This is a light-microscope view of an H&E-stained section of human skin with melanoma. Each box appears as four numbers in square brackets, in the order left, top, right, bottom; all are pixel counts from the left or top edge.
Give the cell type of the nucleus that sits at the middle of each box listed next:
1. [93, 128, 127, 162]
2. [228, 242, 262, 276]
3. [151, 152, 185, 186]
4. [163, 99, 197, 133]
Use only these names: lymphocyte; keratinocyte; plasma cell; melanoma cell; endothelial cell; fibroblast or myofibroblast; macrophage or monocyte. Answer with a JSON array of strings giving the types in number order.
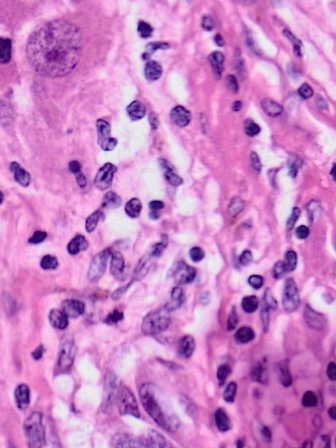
["lymphocyte", "lymphocyte", "macrophage or monocyte", "lymphocyte"]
